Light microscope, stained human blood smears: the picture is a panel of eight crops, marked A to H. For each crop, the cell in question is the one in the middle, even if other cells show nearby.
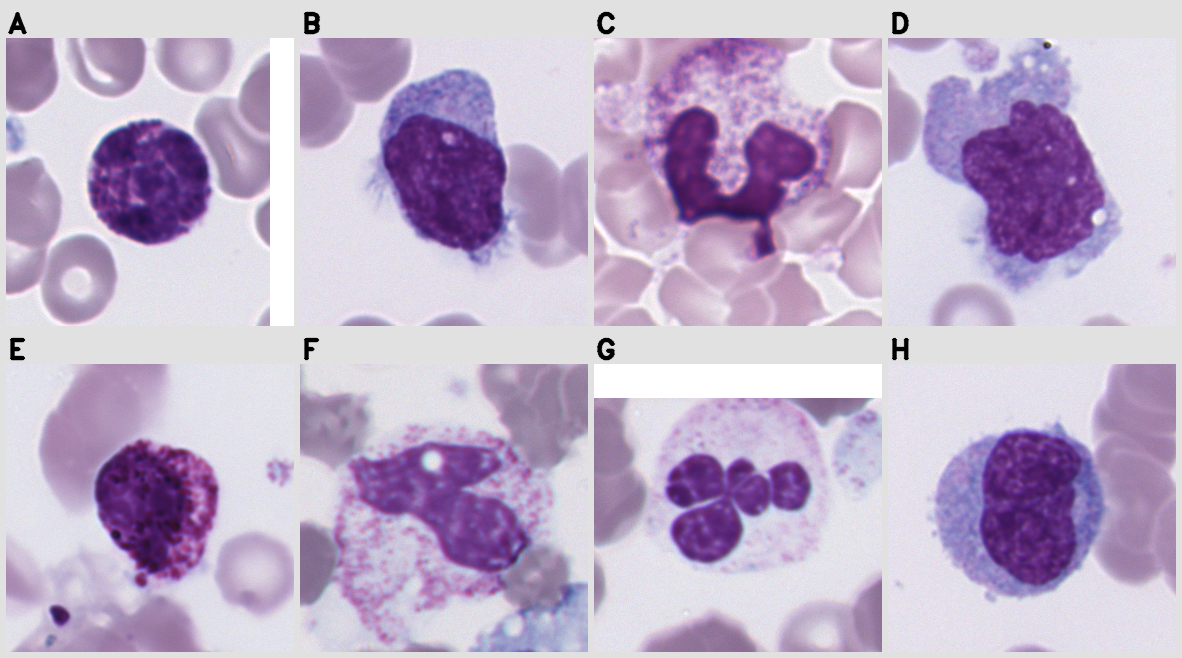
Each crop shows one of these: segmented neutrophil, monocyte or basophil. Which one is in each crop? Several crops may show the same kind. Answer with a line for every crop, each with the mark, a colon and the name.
A: basophil
B: monocyte
C: segmented neutrophil
D: monocyte
E: basophil
F: segmented neutrophil
G: segmented neutrophil
H: monocyte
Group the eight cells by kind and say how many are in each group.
monocyte: 3
segmented neutrophil: 3
basophil: 2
